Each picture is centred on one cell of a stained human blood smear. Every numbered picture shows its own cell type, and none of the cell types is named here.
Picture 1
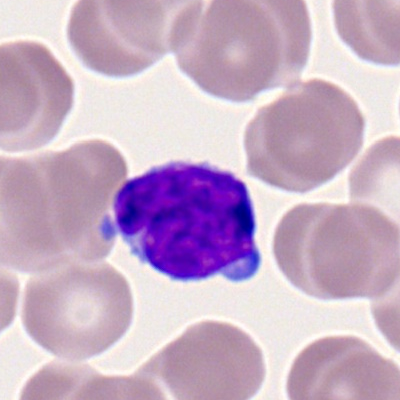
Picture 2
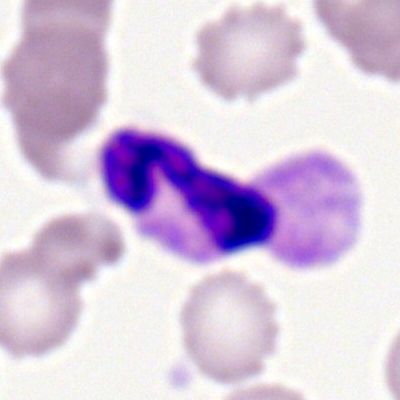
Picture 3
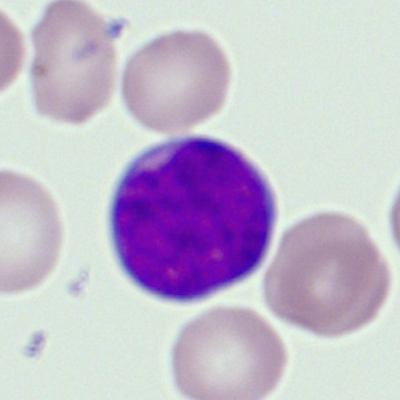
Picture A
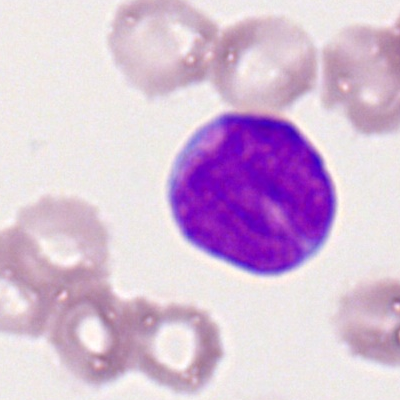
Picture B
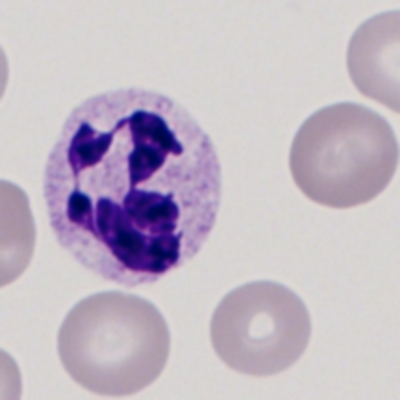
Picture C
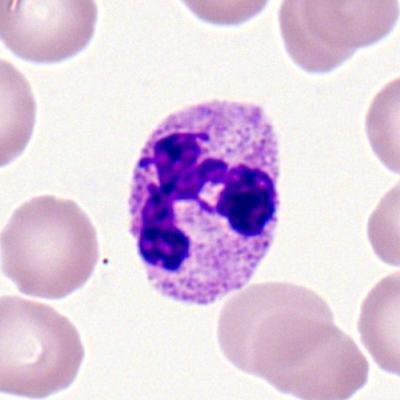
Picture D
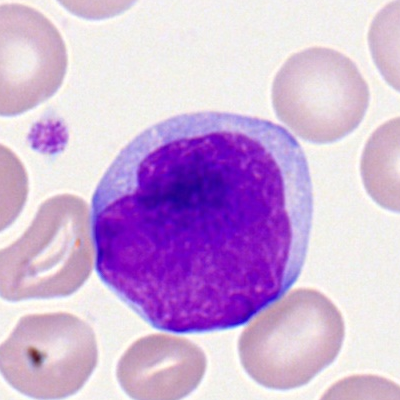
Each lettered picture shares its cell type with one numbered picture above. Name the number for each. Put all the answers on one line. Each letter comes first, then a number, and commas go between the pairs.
A 3, B 2, C 2, D 3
